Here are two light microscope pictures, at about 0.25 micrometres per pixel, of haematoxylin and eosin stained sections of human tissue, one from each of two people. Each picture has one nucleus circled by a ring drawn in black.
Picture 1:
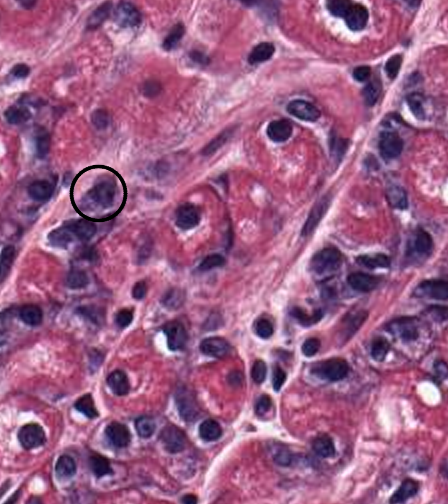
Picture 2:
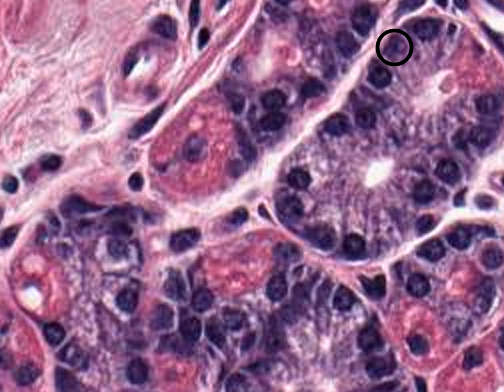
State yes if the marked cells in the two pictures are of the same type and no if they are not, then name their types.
Yes, both are chief cells.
